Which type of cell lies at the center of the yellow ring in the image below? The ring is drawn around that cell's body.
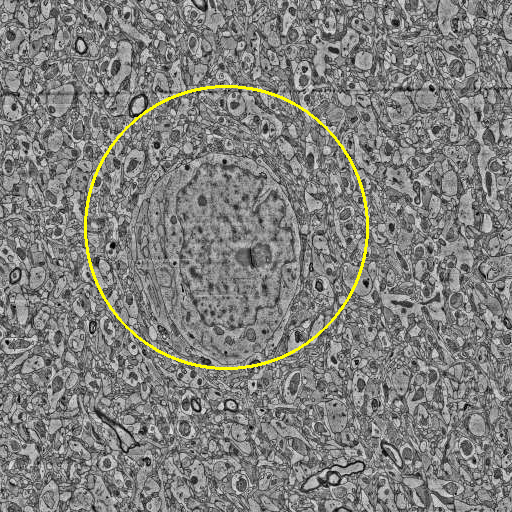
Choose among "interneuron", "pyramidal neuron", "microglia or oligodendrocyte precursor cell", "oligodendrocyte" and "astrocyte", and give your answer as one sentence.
The cell body at the center belongs to an interneuron.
